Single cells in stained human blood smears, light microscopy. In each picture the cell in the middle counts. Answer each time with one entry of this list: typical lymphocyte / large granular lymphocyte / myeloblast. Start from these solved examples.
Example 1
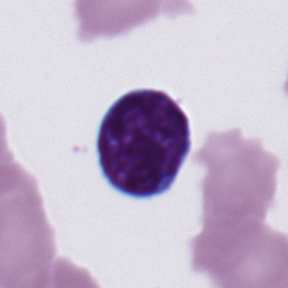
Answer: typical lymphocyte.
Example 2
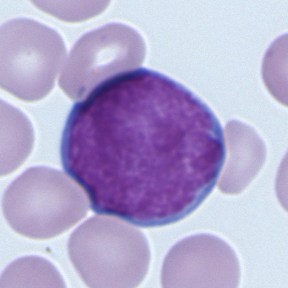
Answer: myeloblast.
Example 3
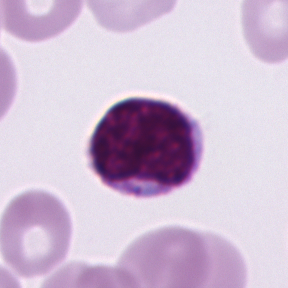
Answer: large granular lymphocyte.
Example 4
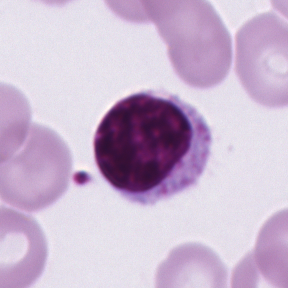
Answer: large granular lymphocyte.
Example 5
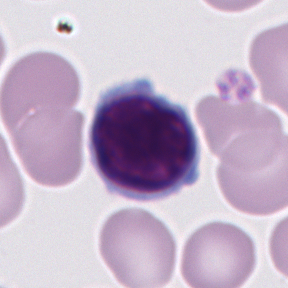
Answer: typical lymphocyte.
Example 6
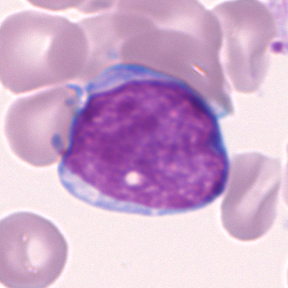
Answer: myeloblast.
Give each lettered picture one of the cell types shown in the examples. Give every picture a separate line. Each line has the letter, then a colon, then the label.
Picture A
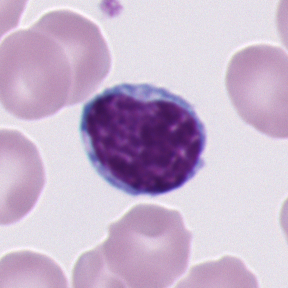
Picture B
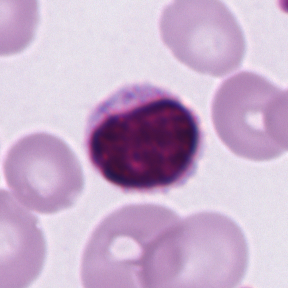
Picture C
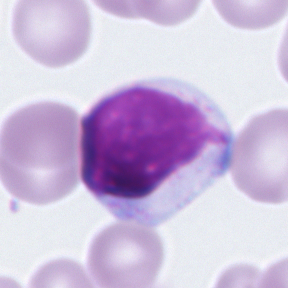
A: typical lymphocyte.
B: large granular lymphocyte.
C: large granular lymphocyte.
